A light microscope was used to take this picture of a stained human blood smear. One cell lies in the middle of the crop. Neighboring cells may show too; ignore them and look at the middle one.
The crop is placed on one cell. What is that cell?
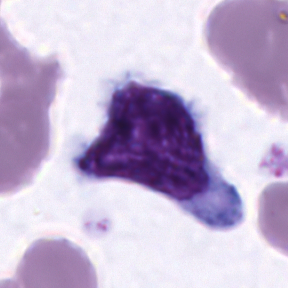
plasma cell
